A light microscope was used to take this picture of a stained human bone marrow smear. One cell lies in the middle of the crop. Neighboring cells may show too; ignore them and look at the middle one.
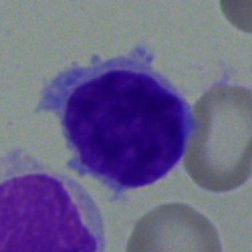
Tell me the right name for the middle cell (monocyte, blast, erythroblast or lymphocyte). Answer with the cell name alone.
lymphocyte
